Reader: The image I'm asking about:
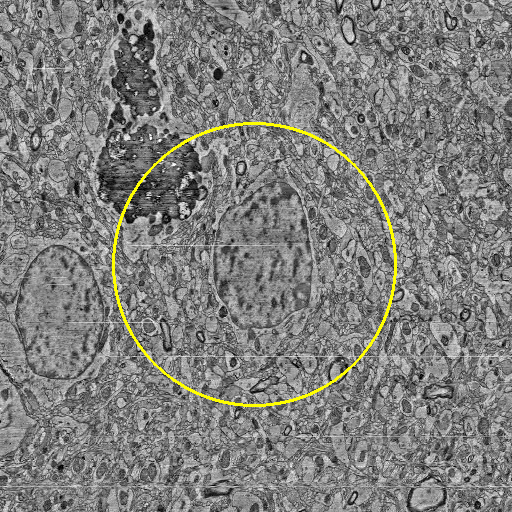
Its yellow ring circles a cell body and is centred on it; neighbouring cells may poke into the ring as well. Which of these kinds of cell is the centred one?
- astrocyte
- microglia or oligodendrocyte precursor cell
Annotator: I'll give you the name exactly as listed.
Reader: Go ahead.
microglia or oligodendrocyte precursor cell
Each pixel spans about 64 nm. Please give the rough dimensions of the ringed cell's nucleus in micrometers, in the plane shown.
About 10 by 7 micrometers for the nucleus, in this plane.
